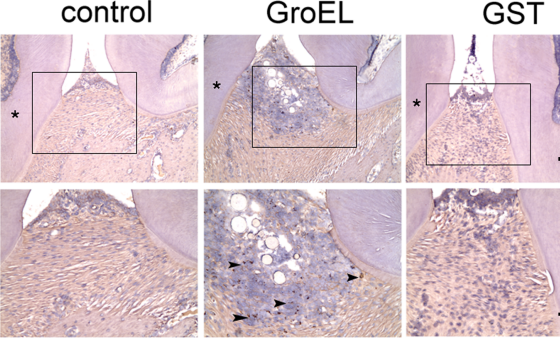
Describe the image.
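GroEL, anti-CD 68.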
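In the middle column the tissue below the surface is crowded with purple-stained cells and riddled with clear round vacuoles of varying size. Arrowheads in the enlarged middle view mark individual infiltrating cells among this dense cellular tissue.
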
